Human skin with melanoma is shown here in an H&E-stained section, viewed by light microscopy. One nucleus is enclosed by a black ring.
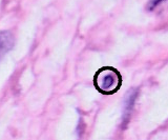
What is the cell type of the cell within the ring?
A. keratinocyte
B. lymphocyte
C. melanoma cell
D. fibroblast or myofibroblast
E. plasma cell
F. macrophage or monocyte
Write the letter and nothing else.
F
